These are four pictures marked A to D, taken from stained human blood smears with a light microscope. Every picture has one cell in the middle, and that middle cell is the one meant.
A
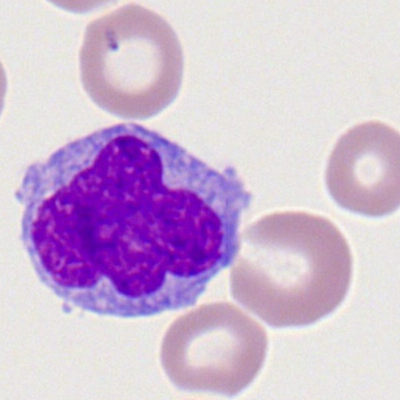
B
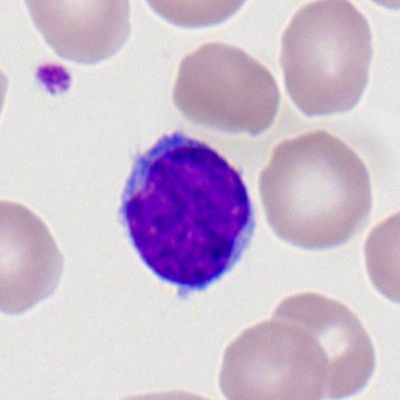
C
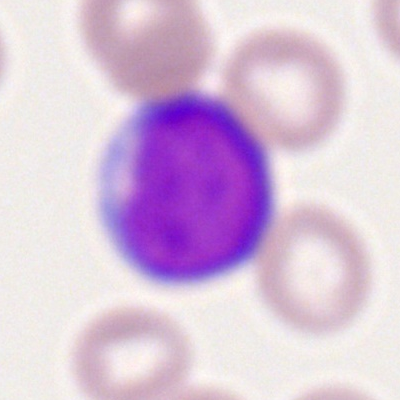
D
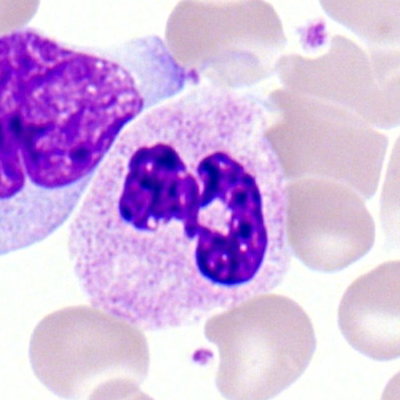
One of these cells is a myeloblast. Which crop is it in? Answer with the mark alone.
C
